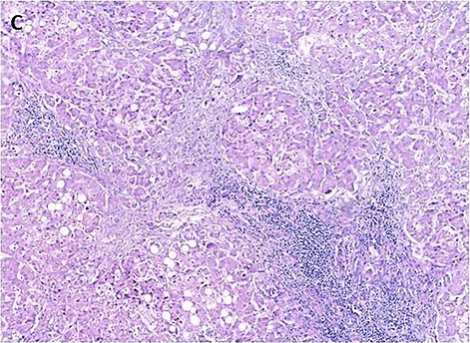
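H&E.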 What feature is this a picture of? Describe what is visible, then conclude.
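Thick fibrous septae. A broad band runs diagonally across the field and contains many small dark nuclei. The band separates areas of pink liver cells on either side. Some of the liver cells contain clear fat vacuoles.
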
